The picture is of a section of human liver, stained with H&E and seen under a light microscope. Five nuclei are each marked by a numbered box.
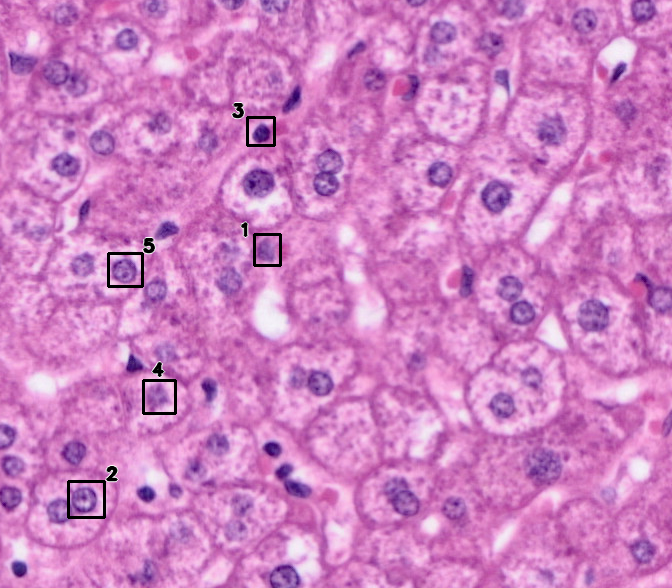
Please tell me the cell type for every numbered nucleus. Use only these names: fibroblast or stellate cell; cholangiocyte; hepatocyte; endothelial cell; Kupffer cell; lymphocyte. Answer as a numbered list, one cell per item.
1. endothelial cell
2. hepatocyte
3. lymphocyte
4. hepatocyte
5. hepatocyte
